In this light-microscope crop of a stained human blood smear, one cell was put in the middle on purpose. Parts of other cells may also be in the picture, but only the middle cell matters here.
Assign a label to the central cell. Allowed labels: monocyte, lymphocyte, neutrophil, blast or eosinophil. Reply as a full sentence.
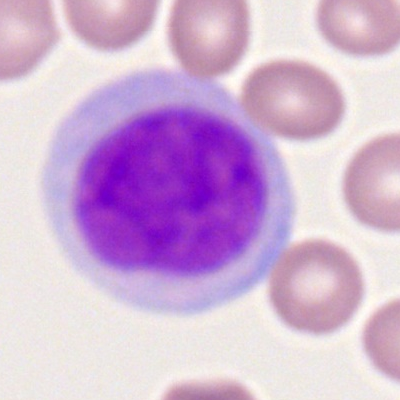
The cell the crop is centered on is a blast.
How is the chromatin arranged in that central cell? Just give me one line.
Just so you know, its chromatin is coarsely clumped.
